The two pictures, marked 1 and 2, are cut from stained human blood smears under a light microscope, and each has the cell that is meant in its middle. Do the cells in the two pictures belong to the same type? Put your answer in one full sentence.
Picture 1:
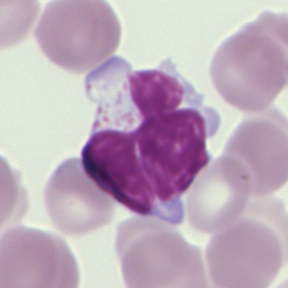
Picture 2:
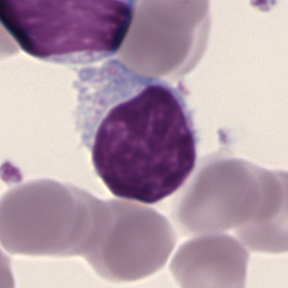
Yes, both cells are large granular lymphocytes.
